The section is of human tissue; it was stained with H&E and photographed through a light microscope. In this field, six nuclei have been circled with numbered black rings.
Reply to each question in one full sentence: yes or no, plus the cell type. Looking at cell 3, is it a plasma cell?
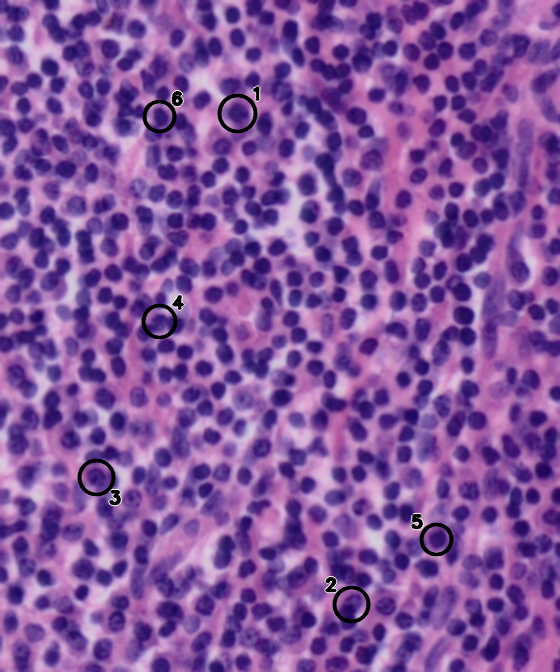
Yes, the cell identified by number 3 is a plasma cell.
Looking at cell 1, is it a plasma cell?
Yes, and to answer plainly, cell 1 is a plasma cell.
